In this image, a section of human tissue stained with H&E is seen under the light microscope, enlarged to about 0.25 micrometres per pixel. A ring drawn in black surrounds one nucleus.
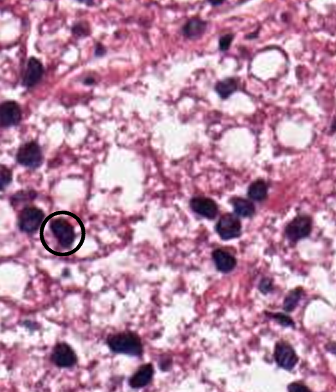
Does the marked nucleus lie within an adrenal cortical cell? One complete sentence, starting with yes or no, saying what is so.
Yes, in this image it is an adrenal cortical cell that contains the marked nucleus.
